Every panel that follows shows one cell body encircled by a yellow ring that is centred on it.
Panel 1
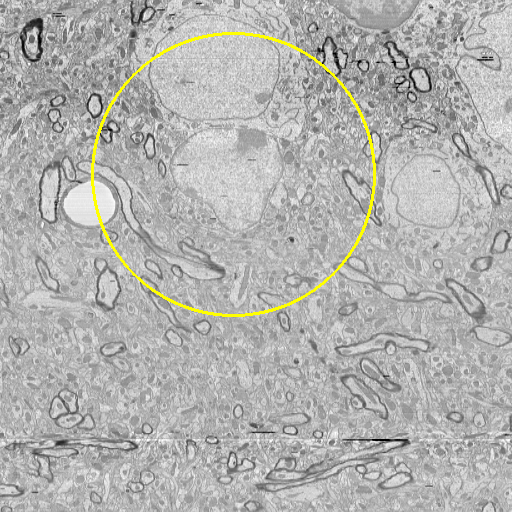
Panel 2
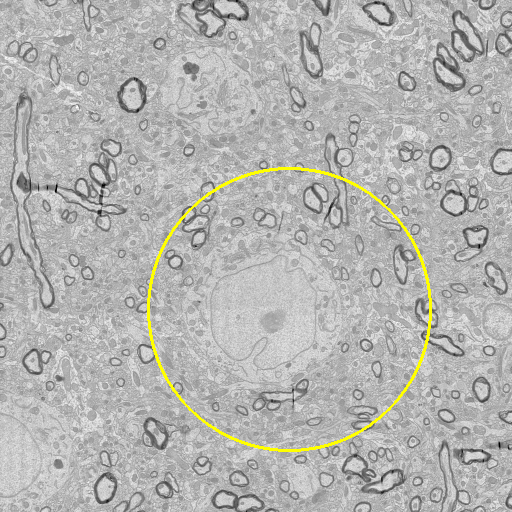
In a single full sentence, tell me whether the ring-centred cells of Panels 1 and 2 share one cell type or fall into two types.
In Panel 1 and Panel 2, the cells at the ring centres fall into two types.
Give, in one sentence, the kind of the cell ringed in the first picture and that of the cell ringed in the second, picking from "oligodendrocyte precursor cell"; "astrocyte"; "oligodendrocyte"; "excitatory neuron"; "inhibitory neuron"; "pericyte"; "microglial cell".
For the first picture it is an astrocyte; for the second, an excitatory neuron.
